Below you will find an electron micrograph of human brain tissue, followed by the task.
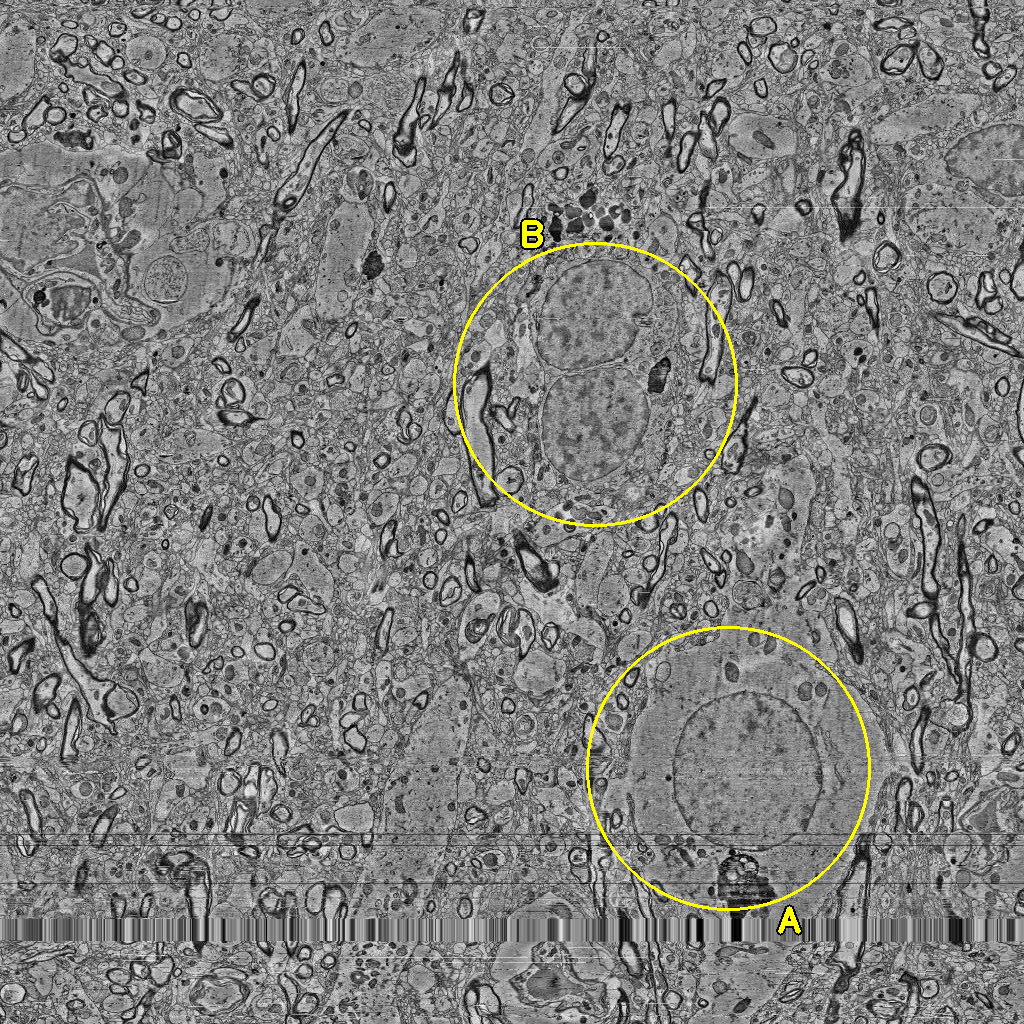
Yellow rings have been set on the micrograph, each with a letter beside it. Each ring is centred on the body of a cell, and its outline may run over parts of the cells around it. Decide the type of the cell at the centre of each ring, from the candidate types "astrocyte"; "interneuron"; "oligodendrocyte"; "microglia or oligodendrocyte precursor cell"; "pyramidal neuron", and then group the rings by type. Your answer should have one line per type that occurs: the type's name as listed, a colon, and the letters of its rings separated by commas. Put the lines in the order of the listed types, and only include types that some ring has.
astrocyte: A
oligodendrocyte: B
